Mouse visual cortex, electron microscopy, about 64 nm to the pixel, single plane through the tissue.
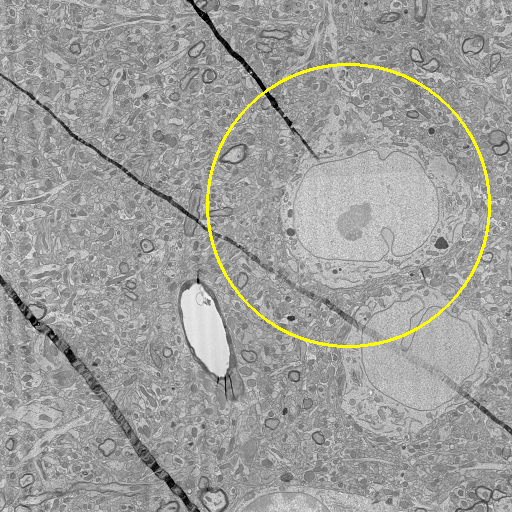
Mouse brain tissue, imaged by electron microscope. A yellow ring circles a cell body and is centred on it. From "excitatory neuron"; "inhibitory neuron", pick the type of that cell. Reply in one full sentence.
The cell body at the centre of the yellow ring belongs to an excitatory neuron.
